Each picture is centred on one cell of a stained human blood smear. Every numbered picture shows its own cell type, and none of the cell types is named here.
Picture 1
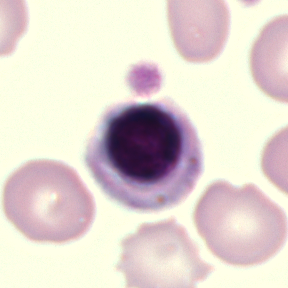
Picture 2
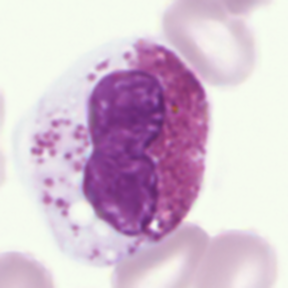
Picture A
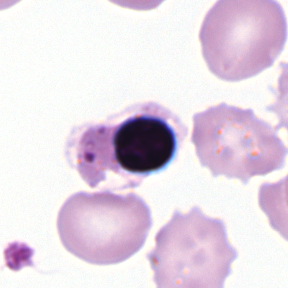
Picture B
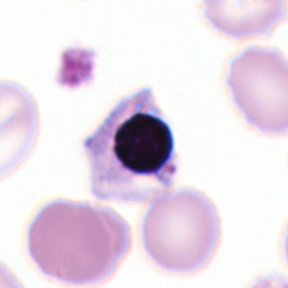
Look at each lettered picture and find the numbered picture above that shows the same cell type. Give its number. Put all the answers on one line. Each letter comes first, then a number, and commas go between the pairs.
A 1, B 1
